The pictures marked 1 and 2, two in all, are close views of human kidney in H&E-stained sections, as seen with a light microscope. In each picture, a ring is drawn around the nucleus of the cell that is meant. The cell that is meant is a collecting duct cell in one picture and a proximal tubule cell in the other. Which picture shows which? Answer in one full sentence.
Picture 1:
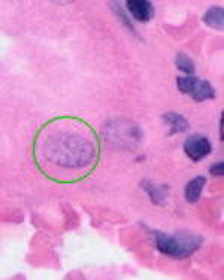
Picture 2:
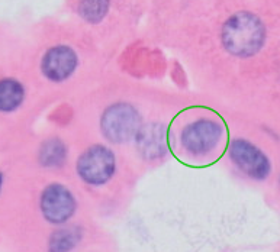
In picture 1 the cell is a proximal tubule cell; in picture 2, a collecting duct cell.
